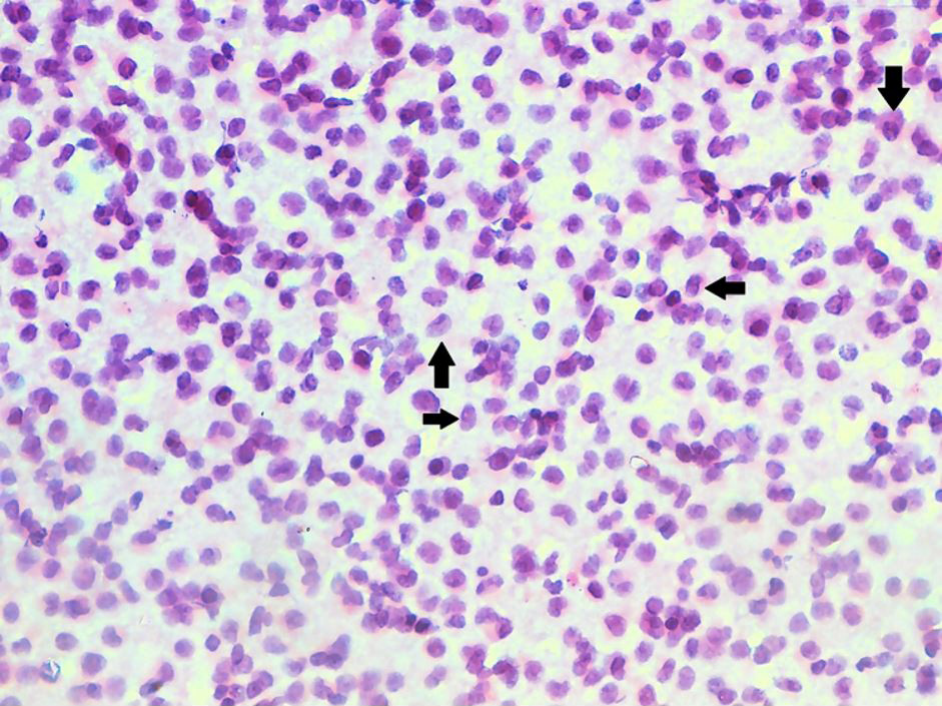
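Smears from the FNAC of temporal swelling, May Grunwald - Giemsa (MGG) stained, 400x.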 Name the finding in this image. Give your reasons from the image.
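The cells are mostly similar to one another in size and shape. Nearly all cells have a single round to oval purple nucleus. The cells lie dispersed singly and in loose groups across the smear. That points to this answer: monomorphous population of cells.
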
